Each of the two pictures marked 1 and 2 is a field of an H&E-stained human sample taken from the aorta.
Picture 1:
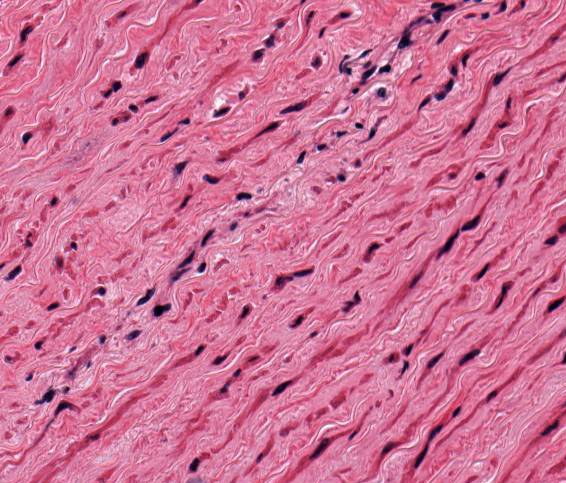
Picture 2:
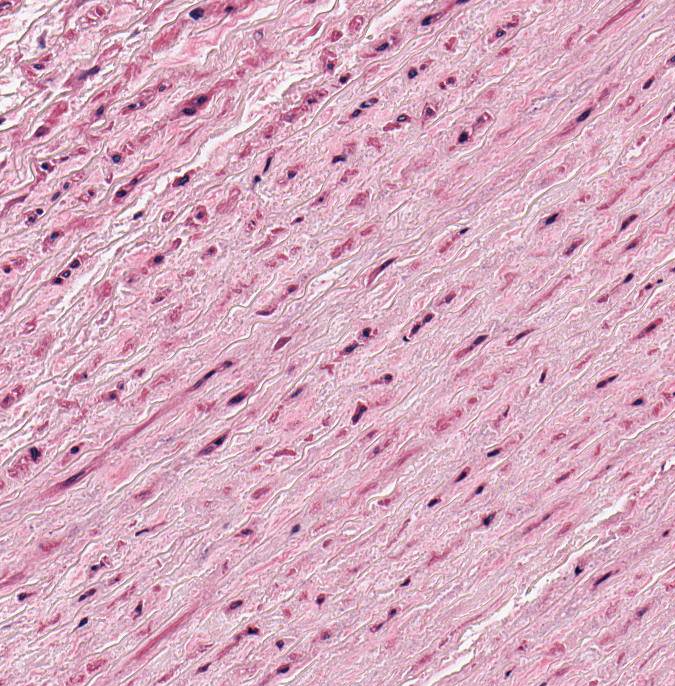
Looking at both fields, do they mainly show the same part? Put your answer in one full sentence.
Yes, both mainly show the tunica media.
